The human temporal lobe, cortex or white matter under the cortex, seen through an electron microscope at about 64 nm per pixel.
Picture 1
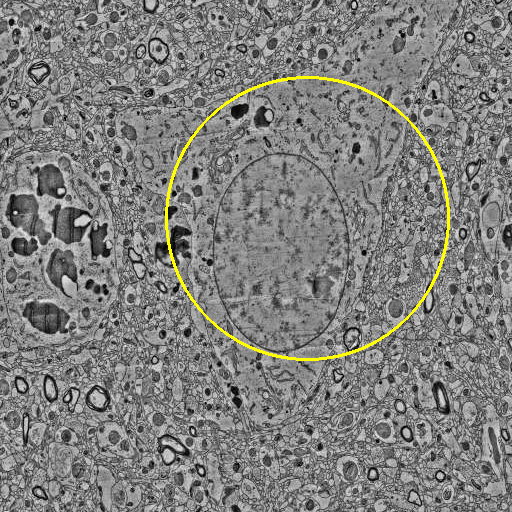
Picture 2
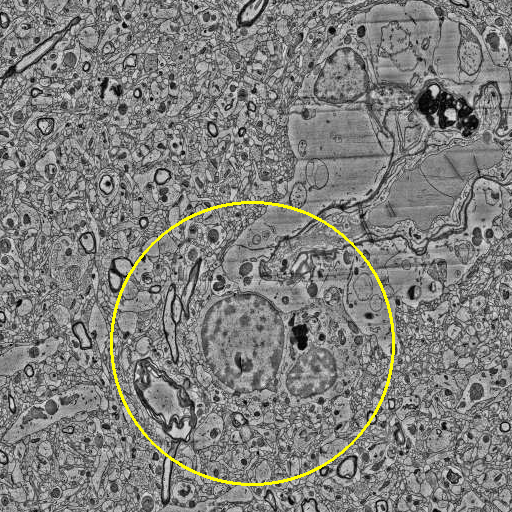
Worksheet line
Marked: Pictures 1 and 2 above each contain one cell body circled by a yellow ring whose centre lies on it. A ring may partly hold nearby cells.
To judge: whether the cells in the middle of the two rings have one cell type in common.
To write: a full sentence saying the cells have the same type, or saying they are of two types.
The cells in the middle of the rings in Picture 1 and Picture 2 are of two types.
